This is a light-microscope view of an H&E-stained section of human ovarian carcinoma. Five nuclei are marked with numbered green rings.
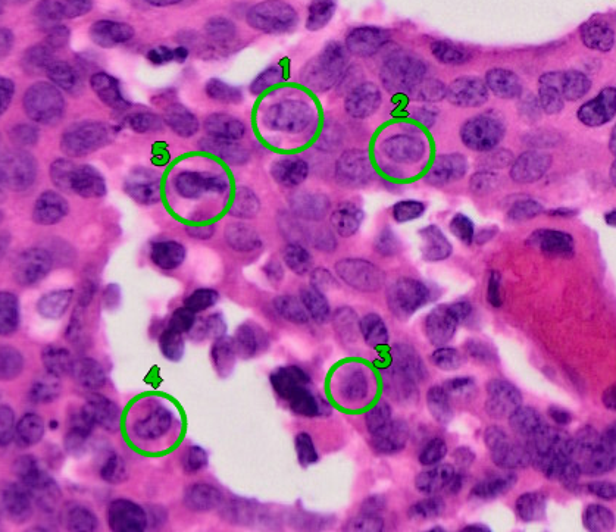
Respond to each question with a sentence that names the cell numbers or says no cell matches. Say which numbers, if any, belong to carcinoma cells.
Marked by the numbers 2 and 3 are cells that are carcinoma cells.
